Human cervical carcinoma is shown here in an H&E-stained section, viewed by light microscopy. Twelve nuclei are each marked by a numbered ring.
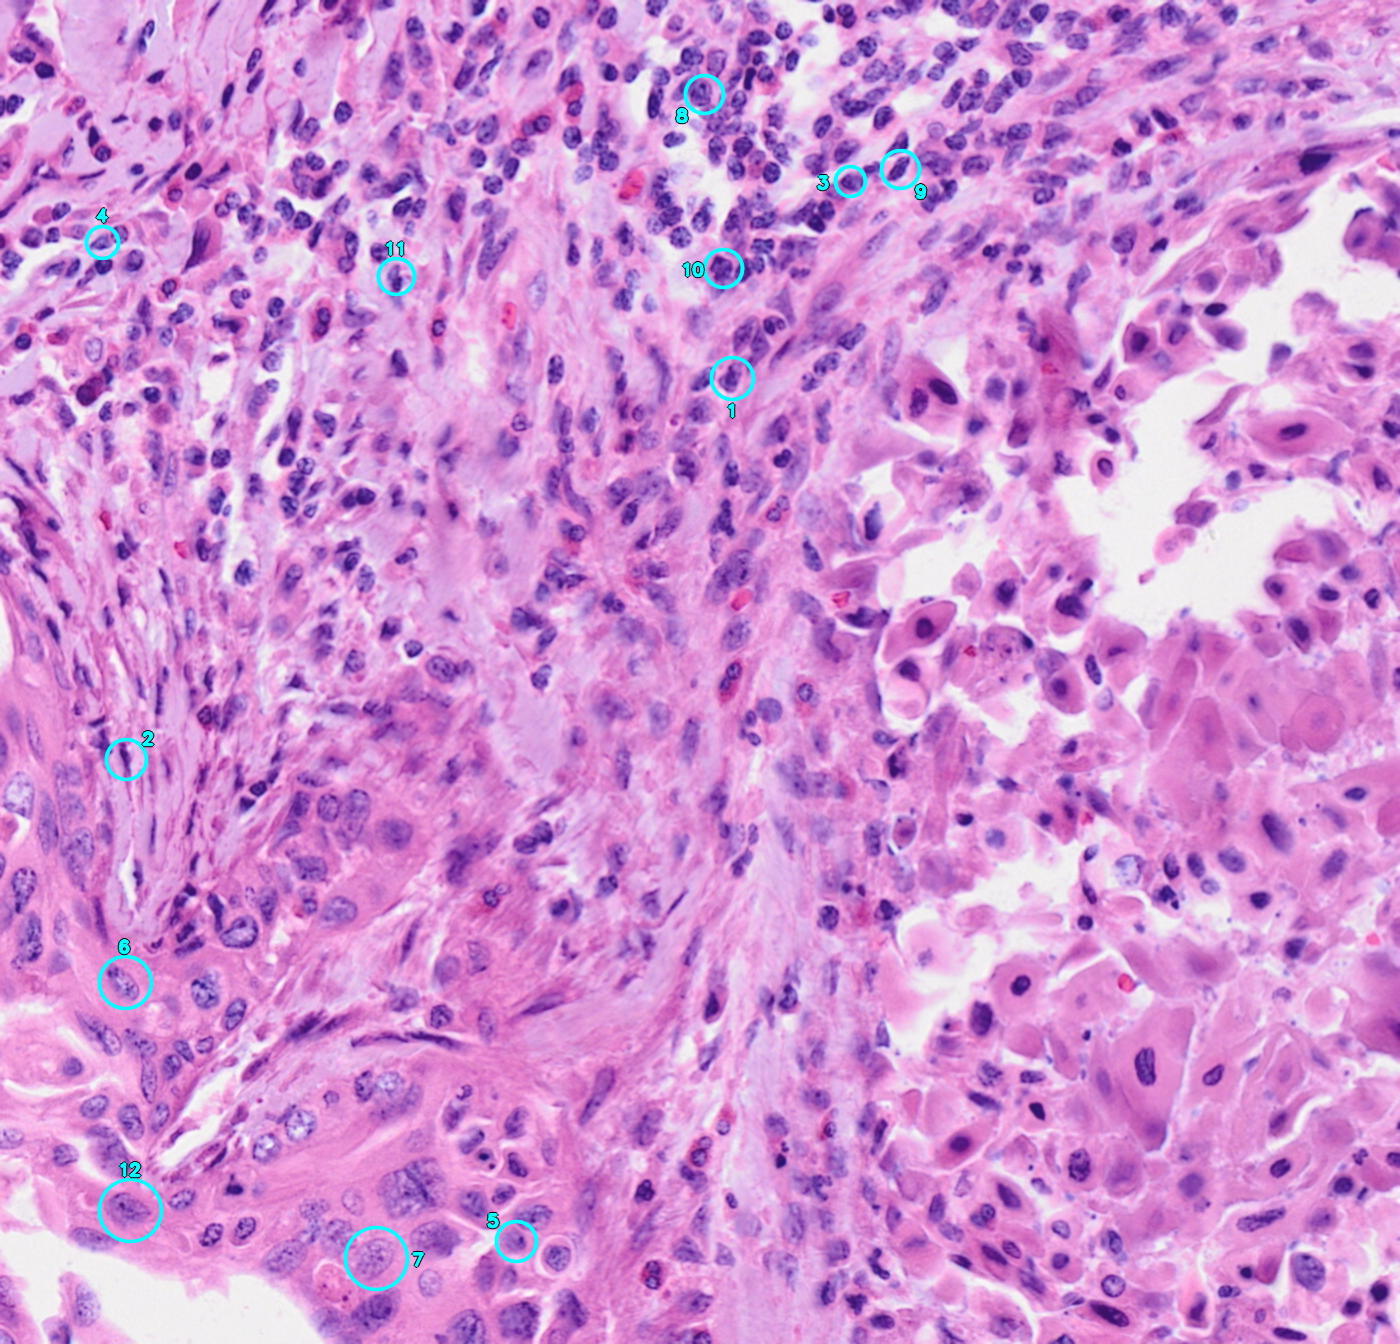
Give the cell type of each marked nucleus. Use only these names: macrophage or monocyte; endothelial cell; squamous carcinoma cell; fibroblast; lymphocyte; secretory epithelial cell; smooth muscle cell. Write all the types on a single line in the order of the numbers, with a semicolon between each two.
lymphocyte; fibroblast; lymphocyte; lymphocyte; squamous carcinoma cell; squamous carcinoma cell; squamous carcinoma cell; lymphocyte; lymphocyte; lymphocyte; lymphocyte; squamous carcinoma cell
